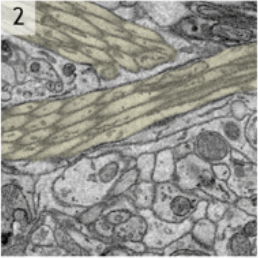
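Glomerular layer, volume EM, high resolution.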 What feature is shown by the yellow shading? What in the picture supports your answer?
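Axon bundles. Yellow-shaded bands run diagonally across the field. Each band is made of many thin parallel fibres packed side by side.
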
